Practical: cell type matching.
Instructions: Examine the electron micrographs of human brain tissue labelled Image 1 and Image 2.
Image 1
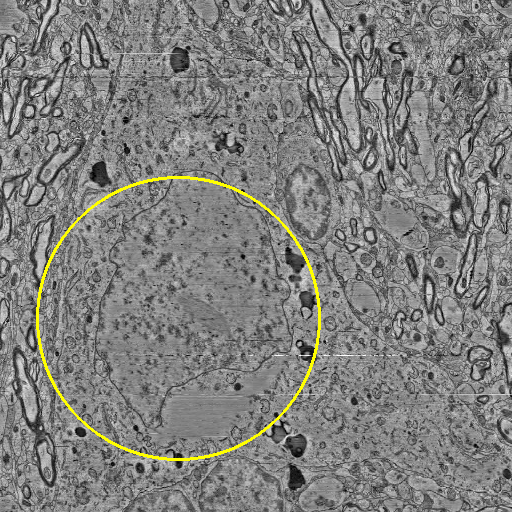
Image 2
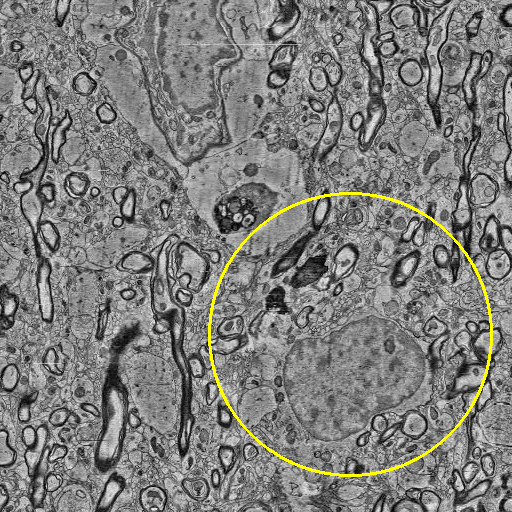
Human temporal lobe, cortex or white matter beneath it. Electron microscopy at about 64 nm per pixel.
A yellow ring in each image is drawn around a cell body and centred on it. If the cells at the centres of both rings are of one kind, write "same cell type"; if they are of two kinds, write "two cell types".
two cell types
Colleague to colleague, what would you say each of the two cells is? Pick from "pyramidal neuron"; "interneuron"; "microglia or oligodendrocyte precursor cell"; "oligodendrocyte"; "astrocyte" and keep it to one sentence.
The cell in the first picture is a pyramidal neuron; the second picture's cell is an oligodendrocyte.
